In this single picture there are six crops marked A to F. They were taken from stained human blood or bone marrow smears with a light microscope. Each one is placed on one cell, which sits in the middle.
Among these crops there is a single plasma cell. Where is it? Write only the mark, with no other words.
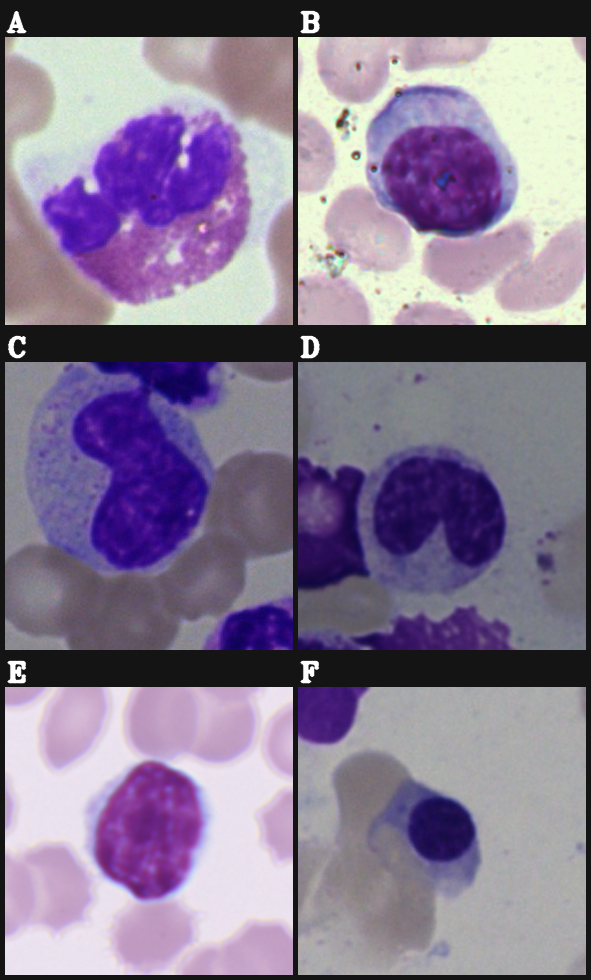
B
